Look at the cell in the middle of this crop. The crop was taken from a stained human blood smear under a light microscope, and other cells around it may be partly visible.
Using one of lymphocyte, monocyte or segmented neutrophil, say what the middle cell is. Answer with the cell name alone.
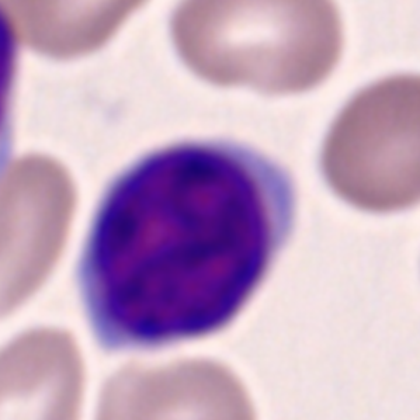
lymphocyte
